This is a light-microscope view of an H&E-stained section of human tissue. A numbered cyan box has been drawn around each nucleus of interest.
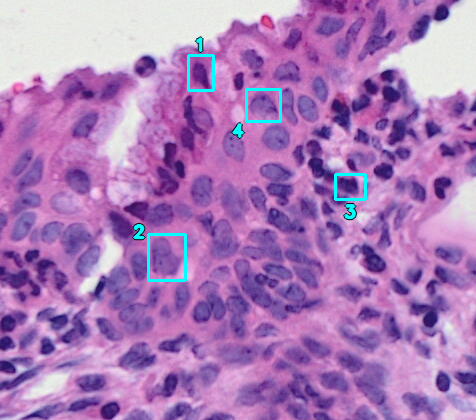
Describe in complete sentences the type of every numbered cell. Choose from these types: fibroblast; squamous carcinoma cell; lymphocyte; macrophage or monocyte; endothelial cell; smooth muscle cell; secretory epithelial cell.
Cells 1, 2 and 4 are secretory epithelial cells. Cell 3 is a lymphocyte.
